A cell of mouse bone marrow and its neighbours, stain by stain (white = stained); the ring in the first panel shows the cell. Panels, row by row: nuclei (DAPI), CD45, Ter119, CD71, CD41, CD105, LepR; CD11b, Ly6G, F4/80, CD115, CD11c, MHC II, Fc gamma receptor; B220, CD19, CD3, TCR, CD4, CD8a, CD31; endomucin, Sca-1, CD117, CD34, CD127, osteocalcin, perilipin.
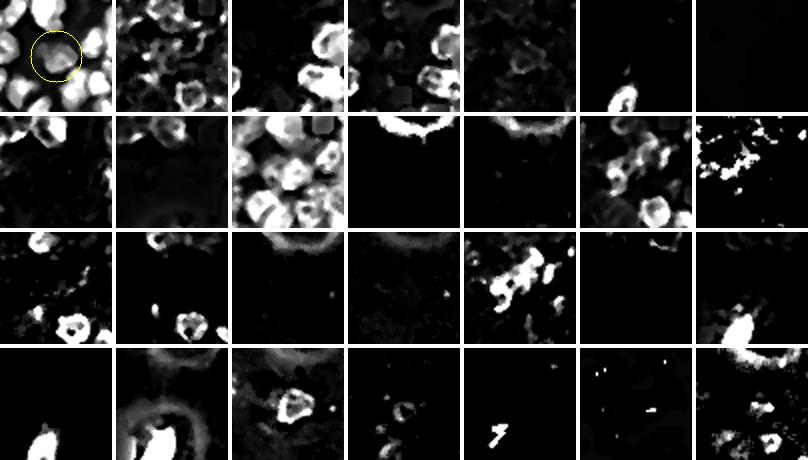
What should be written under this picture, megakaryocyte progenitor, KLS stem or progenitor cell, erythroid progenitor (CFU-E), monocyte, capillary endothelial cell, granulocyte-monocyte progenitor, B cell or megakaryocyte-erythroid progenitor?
granulocyte-monocyte progenitor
